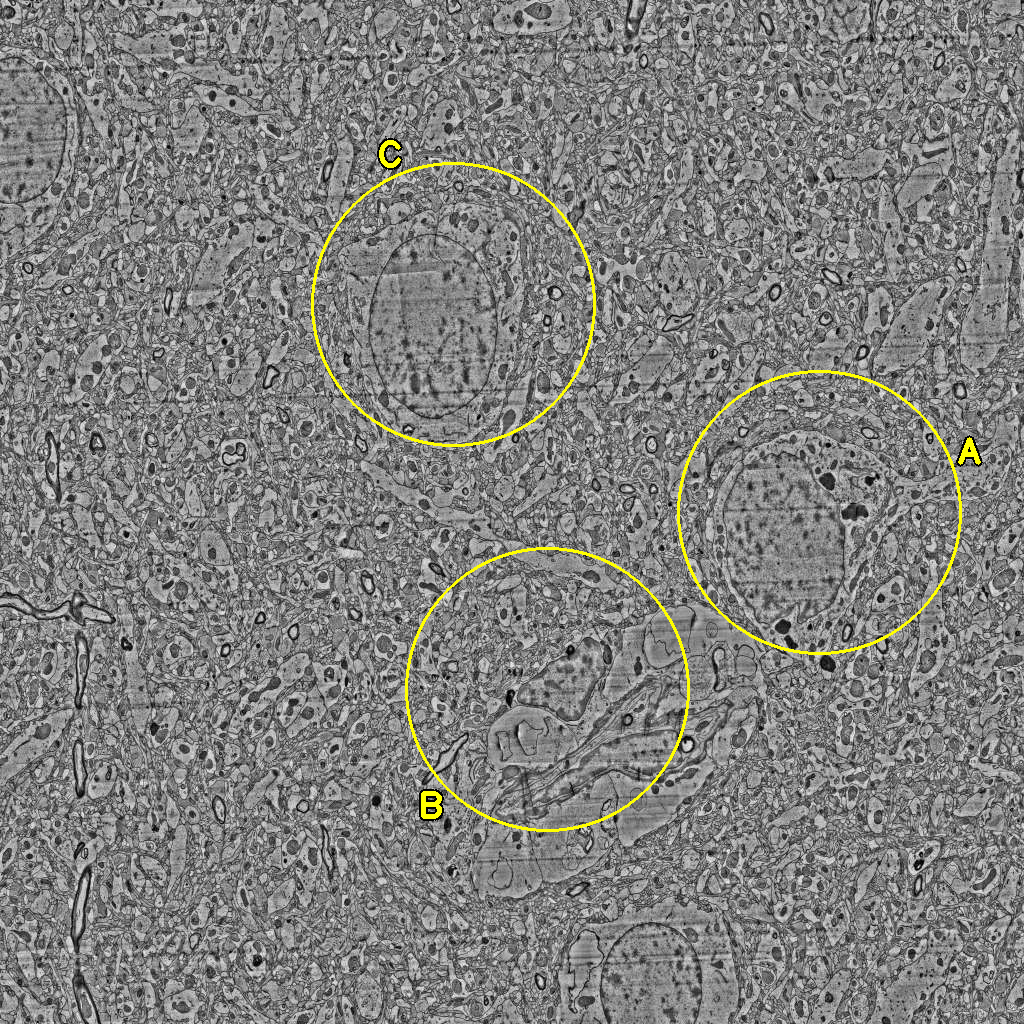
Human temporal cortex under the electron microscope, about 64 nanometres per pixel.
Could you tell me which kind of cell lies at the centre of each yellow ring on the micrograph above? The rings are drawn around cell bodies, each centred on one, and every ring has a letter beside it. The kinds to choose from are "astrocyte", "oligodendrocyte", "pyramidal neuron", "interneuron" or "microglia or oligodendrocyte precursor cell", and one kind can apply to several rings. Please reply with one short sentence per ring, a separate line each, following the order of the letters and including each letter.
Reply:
Ring A circles an interneuron.
Ring B circles a microglial cell or oligodendrocyte precursor cell.
Ring C circles a pyramidal neuron.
